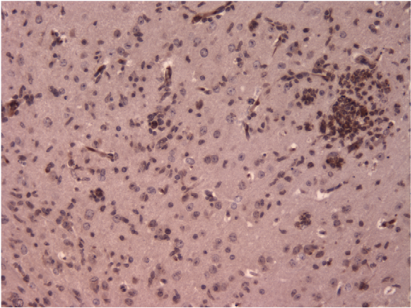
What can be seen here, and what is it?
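This is brain parenchyma with a pale, finely textured background and many scattered small round to oval nuclei. Several dense clusters of darkly stained cells lie within the tissue, the largest forming a compact rounded aggregate, with smaller stained groups and elongated profiles nearby.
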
